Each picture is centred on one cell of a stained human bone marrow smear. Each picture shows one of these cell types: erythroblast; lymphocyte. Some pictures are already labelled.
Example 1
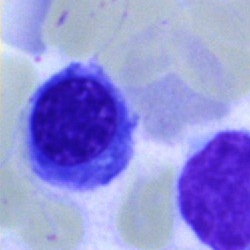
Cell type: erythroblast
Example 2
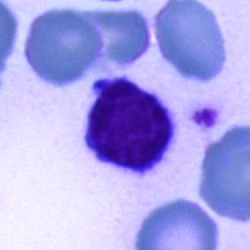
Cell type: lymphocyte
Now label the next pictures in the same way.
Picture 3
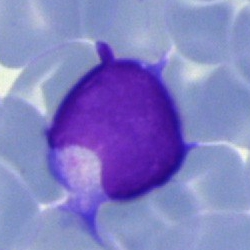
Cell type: lymphocyte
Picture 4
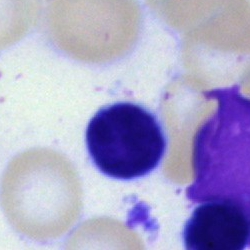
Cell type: lymphocyte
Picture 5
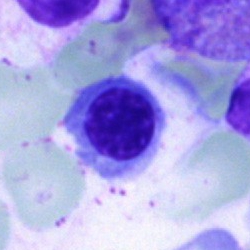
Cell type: erythroblast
